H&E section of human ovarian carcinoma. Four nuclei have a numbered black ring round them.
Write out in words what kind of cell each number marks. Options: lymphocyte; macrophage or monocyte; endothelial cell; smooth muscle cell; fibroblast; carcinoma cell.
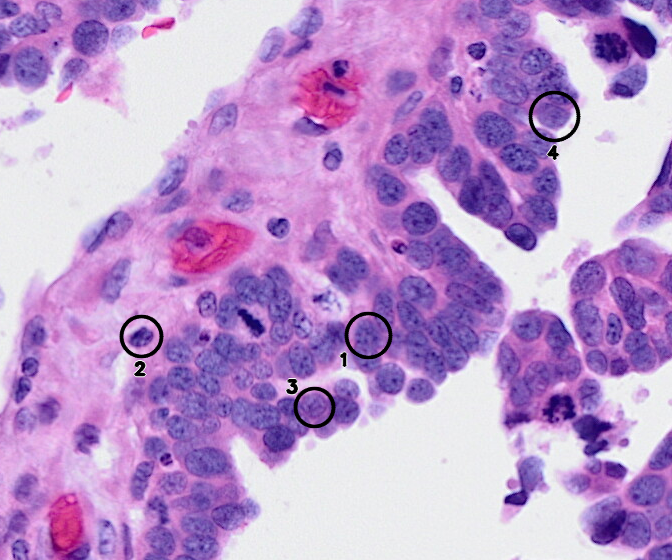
Cell 1 is a carcinoma cell, cell 2 is a lymphocyte, cell 3 is a carcinoma cell and cell 4 is a carcinoma cell.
